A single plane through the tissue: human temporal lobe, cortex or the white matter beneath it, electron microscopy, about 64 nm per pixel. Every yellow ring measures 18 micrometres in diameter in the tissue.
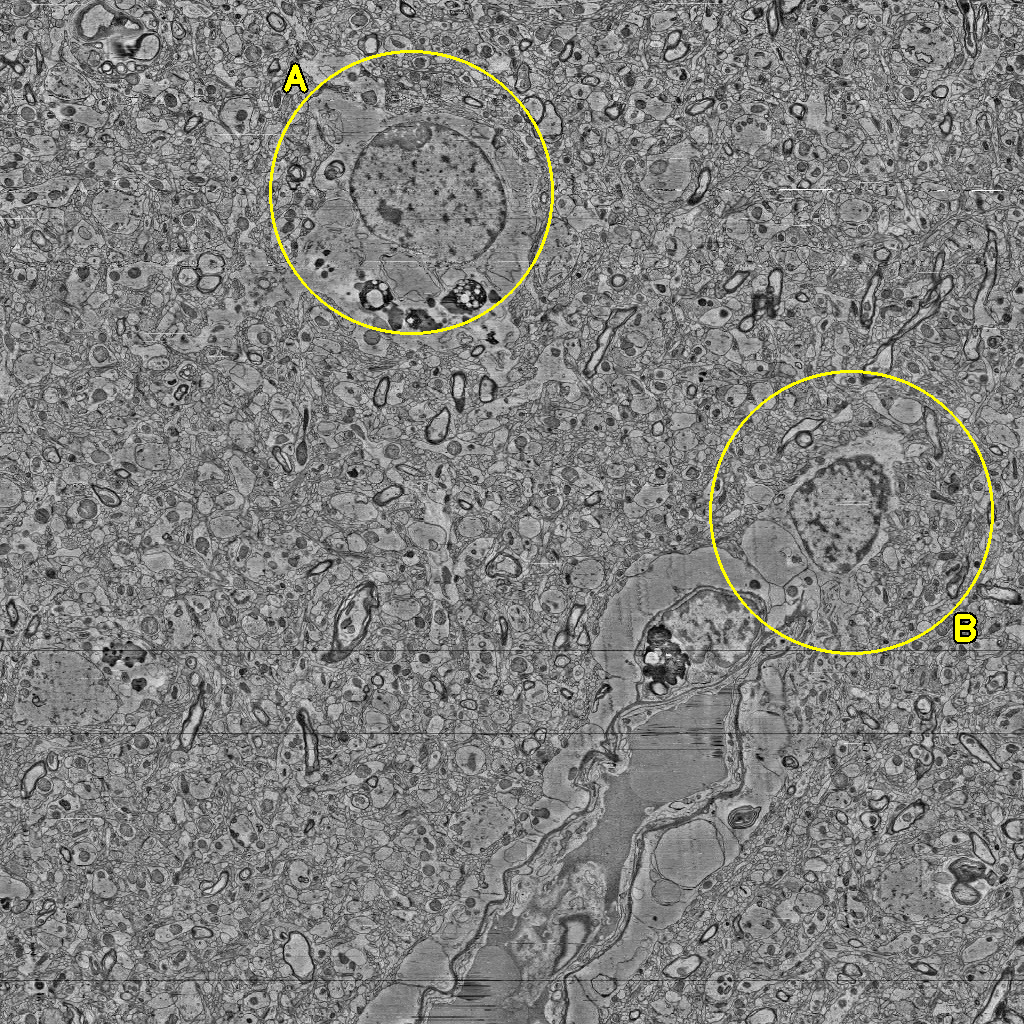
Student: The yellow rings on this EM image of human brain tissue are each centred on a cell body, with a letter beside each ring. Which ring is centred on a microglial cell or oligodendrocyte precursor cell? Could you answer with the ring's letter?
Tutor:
B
